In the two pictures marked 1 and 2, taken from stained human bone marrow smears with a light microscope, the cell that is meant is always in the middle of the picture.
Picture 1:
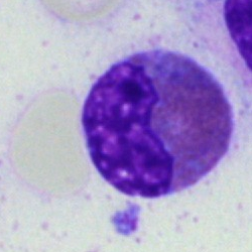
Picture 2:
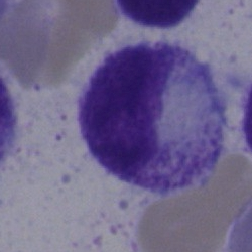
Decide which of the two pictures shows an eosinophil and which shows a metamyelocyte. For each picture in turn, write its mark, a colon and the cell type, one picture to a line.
1: eosinophil
2: metamyelocyte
